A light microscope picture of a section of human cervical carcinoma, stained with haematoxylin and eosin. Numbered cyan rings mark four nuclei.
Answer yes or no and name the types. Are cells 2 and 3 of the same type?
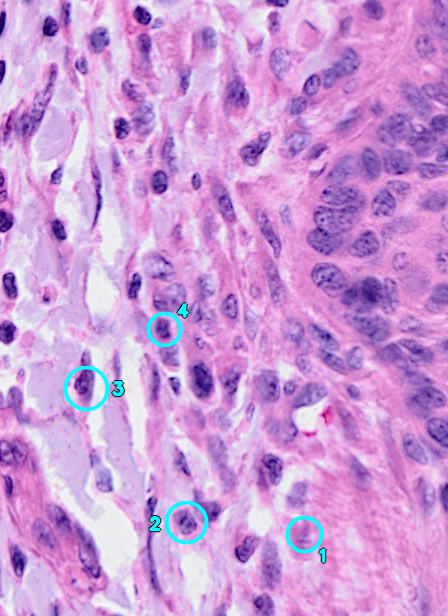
Yes, cells 2 and 3 are both identified as macrophages or monocytes.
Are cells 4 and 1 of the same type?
No, what is marked as cell 4 is a lymphocyte, and what is marked as cell 1 is a fibroblast.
